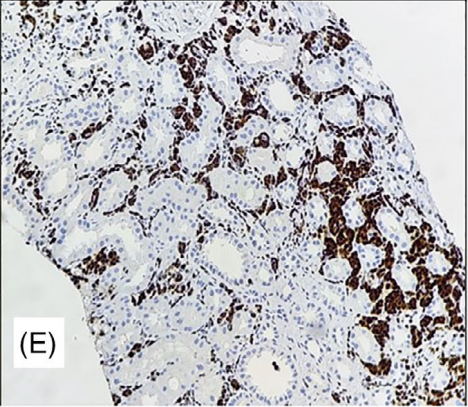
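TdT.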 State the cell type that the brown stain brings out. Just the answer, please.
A: neoplastic cells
